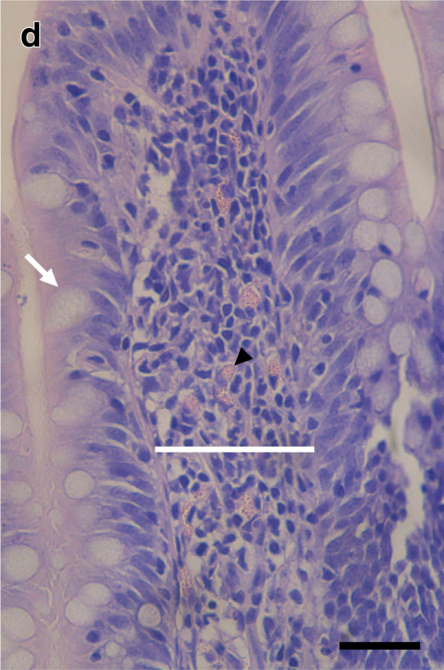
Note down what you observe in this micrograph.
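Intestinal villus lined on both sides by tall columnar epithelium with elongated, basally placed dark blue nuclei. Near the surface lie many pale, rounded goblet cells with bubbly contents. The apical cytoplasm of the epithelium is pale pink and holds few clear vacuoles.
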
